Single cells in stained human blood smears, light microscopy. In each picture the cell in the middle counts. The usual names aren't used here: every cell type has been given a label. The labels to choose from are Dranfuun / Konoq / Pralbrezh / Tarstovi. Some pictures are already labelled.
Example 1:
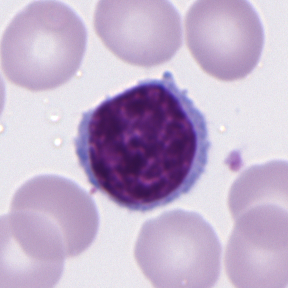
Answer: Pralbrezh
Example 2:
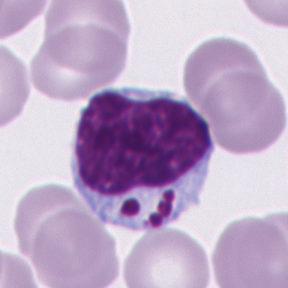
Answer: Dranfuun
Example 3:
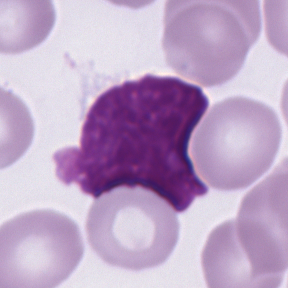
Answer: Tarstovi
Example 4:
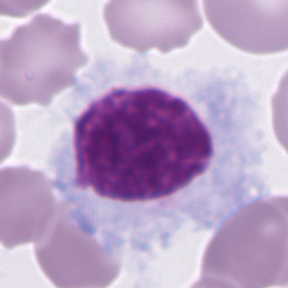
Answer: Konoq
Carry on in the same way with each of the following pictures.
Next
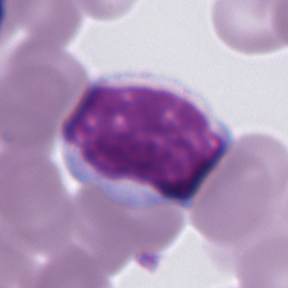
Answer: Dranfuun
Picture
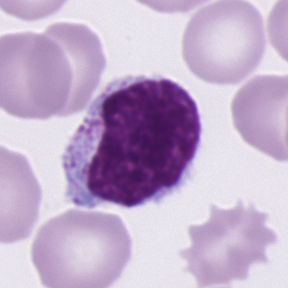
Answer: Dranfuun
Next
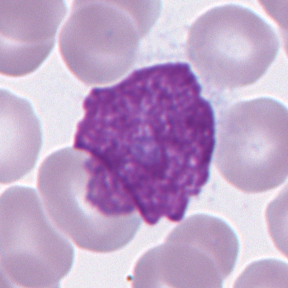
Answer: Tarstovi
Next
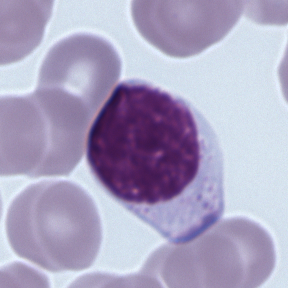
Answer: Dranfuun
